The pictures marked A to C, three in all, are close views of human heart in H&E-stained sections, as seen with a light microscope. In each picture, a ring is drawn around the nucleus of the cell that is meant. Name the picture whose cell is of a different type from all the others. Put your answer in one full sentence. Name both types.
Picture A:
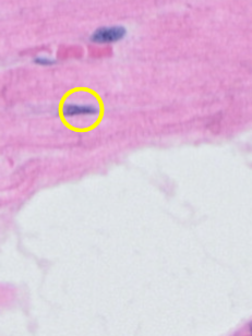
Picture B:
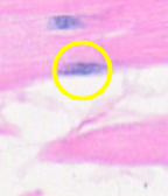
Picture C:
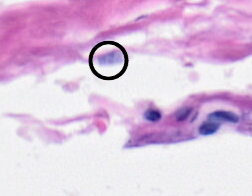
The others show endothelial cells, but picture C shows a fibroblast.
